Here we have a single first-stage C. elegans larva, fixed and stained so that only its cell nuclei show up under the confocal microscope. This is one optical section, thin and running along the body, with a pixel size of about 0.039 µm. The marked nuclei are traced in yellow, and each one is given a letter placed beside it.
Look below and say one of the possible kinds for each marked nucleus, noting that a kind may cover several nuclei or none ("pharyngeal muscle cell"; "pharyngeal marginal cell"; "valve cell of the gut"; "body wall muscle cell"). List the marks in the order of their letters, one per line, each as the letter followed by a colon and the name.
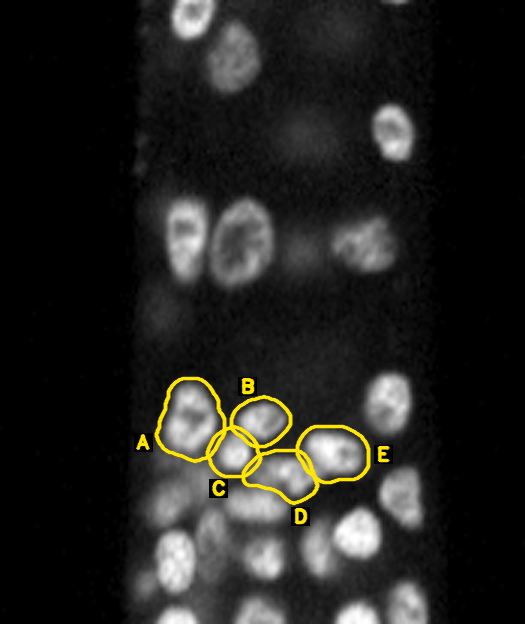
A: body wall muscle cell
B: valve cell of the gut
C: valve cell of the gut
D: pharyngeal muscle cell
E: valve cell of the gut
